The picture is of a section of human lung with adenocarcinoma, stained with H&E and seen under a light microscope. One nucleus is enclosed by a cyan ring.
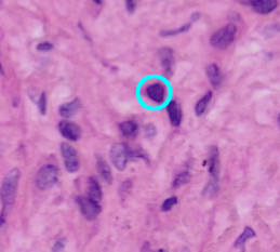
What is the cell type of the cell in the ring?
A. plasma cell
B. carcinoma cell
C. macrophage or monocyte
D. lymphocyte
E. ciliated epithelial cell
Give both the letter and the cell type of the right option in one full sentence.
Best answer: option A, with the cell in the ring being a plasma cell.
